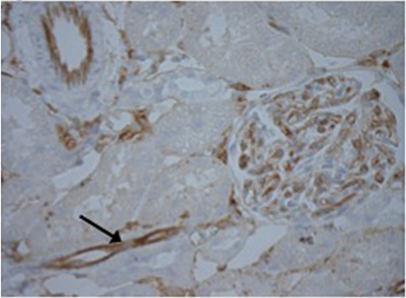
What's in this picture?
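Renal cortex with a glomerulus, small vessels and tubules. Brown stain outlines the walls of several vessels: a cross-cut vessel at upper left with a strongly brown ring, and an elongated small vessel at lower left with brown lining along both walls. At right a round glomerulus shows many brown-stained capillary loops and cells inside its tuft, surrounded by a thin capsule. Between these, scattered brown cells and thin brown strands run in the interstitium. The tubules have pale, finely granular cytoplasm with little or no brown, and faint blue nuclei.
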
